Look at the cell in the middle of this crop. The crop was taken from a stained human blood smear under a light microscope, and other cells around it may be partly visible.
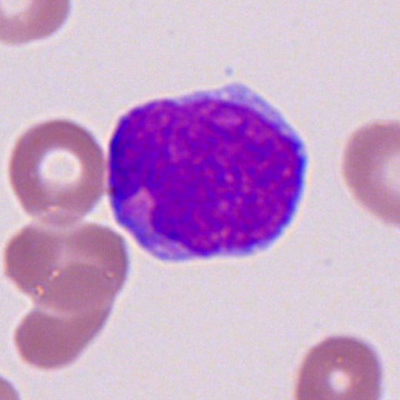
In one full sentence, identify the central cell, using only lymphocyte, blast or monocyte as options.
Regarding the central cell, it is a blast.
